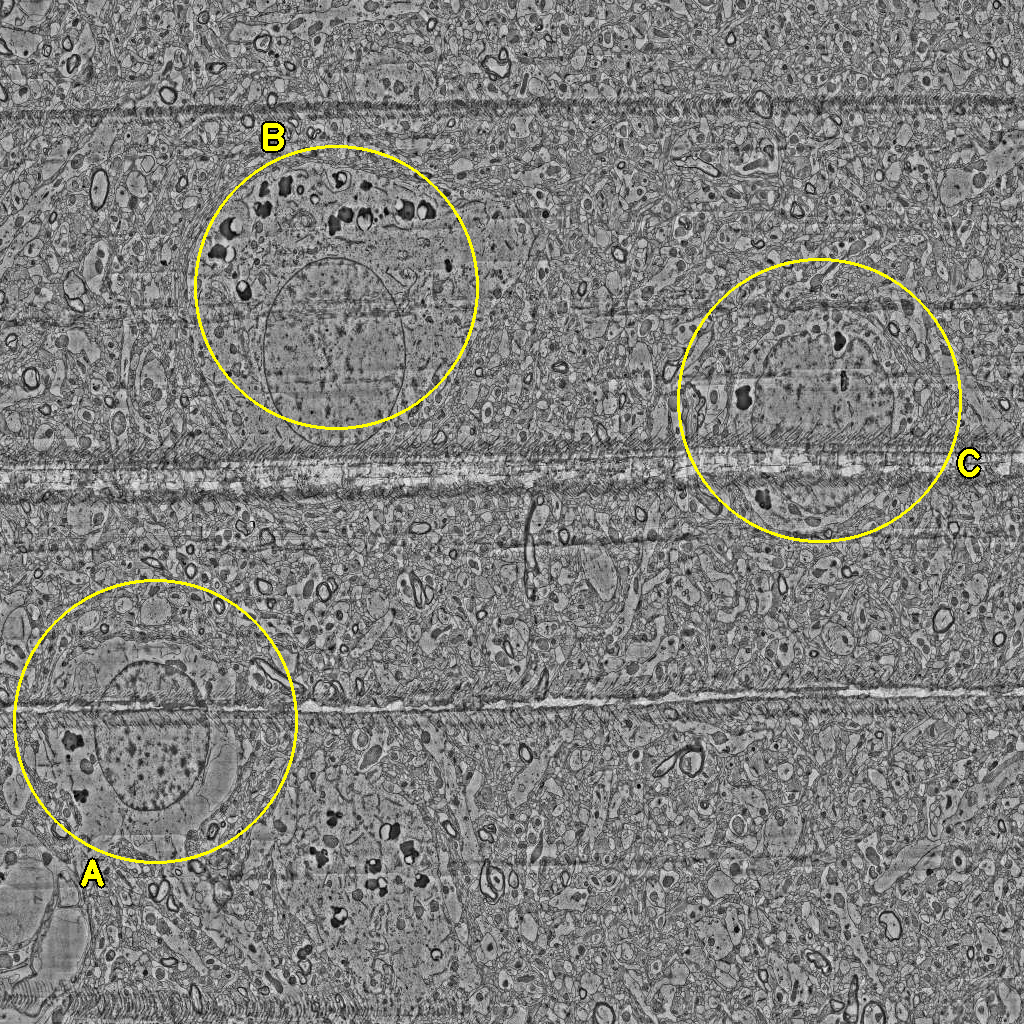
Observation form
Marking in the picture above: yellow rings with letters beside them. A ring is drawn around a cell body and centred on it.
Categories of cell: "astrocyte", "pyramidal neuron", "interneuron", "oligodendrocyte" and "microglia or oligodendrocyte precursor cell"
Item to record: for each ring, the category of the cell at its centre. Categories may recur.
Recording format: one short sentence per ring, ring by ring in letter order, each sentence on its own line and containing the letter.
Ring A is placed on an astrocyte.
Ring B is placed on a pyramidal neuron.
Ring C is placed on an interneuron.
